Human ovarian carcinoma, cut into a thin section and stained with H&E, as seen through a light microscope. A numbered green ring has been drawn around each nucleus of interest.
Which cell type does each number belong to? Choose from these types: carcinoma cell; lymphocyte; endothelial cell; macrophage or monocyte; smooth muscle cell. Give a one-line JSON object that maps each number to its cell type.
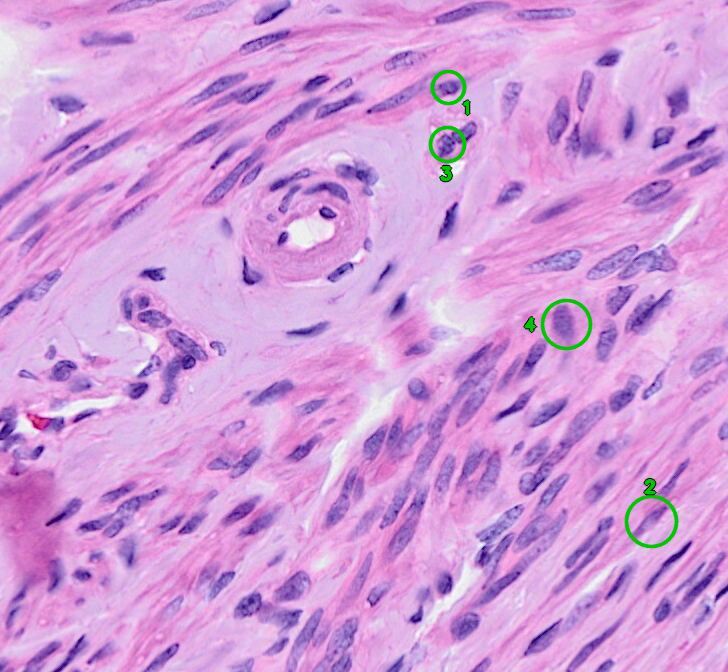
{"1": "smooth muscle cell", "2": "smooth muscle cell", "3": "endothelial cell", "4": "smooth muscle cell"}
